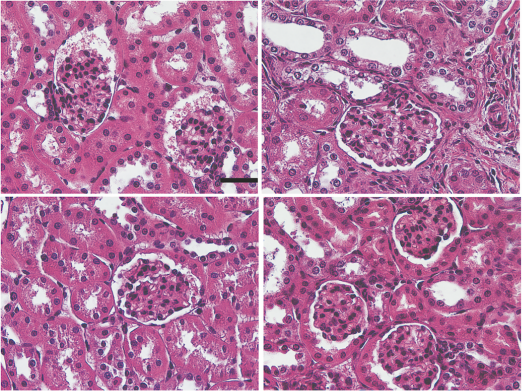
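Kidney cortex in four fields, with glomeruli and tubules lined by pink cuboidal epithelium with round dark nuclei. In the upper right field several tubules are dilated with empty lumens and thin, flattened epithelium, and the interstitium between them is widened and holds spindle-shaped cells. The lower right field shows milder changes, with tubules mostly packed and only slight interstitial widening.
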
